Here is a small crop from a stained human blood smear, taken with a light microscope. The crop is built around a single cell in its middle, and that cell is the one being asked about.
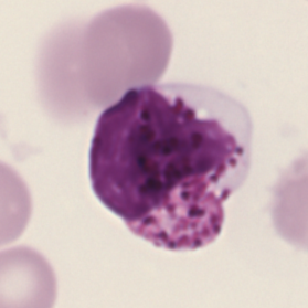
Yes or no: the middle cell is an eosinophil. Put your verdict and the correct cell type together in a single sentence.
No, at the middle of the crop is a basophil, not an eosinophil.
